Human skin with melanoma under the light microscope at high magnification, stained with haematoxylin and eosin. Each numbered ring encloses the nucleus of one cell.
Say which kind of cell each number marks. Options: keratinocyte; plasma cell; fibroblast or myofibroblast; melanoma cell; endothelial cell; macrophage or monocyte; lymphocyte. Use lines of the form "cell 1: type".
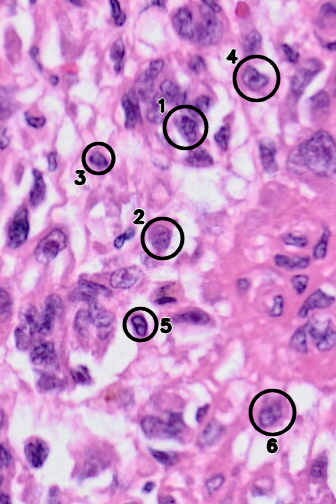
cell 1: melanoma cell
cell 2: melanoma cell
cell 3: macrophage or monocyte
cell 4: melanoma cell
cell 5: macrophage or monocyte
cell 6: melanoma cell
